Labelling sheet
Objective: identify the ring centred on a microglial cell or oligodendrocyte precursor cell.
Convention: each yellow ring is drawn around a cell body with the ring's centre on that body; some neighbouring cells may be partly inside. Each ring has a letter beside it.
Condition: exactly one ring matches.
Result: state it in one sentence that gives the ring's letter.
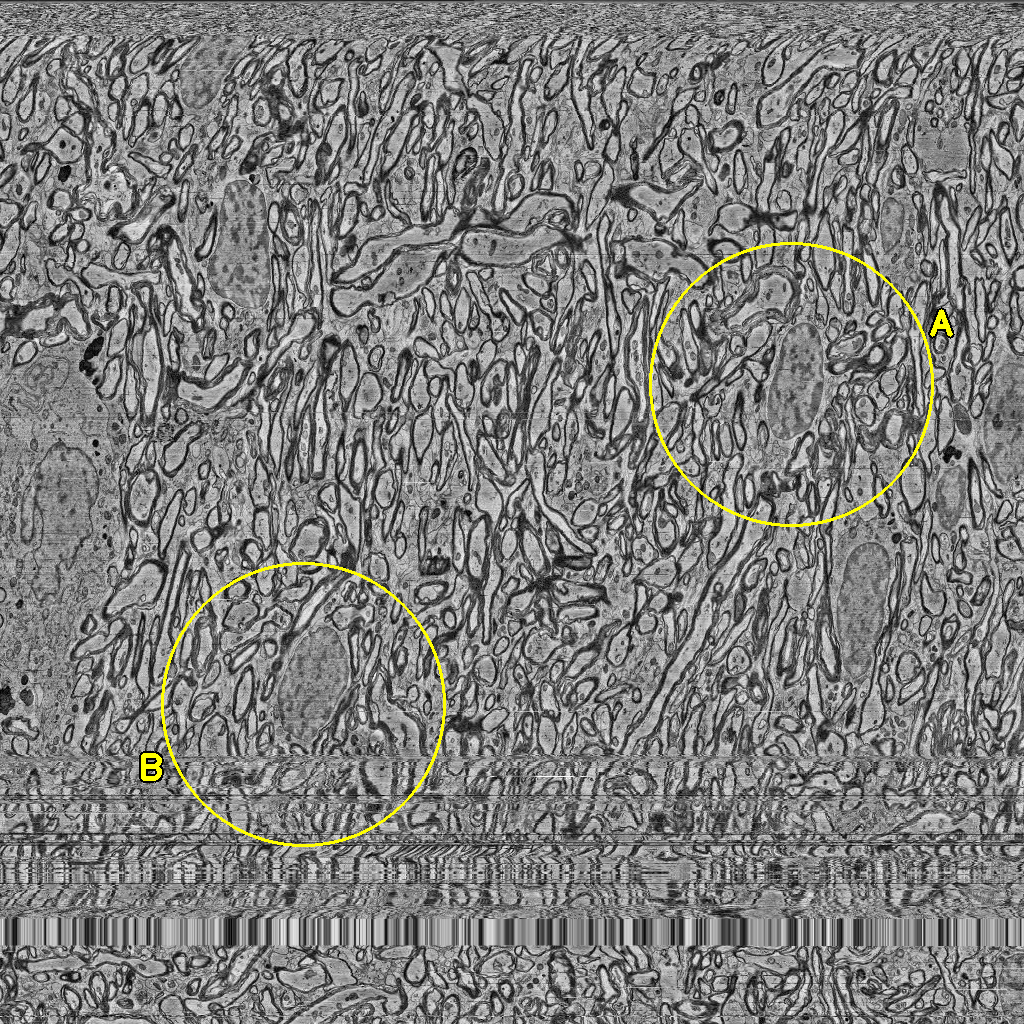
It lies at the centre of ring A.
